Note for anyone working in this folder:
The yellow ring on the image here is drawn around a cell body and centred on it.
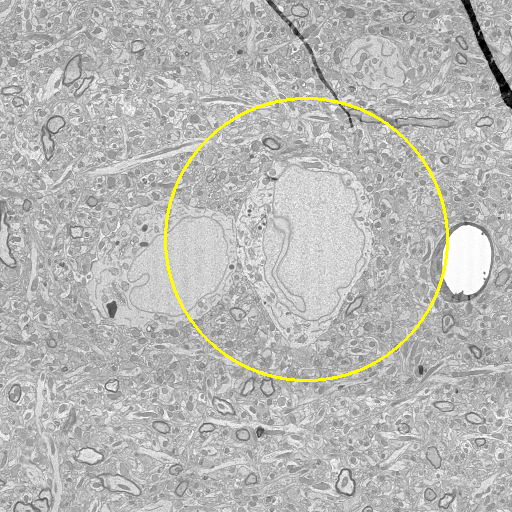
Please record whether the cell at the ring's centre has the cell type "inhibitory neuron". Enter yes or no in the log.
yes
